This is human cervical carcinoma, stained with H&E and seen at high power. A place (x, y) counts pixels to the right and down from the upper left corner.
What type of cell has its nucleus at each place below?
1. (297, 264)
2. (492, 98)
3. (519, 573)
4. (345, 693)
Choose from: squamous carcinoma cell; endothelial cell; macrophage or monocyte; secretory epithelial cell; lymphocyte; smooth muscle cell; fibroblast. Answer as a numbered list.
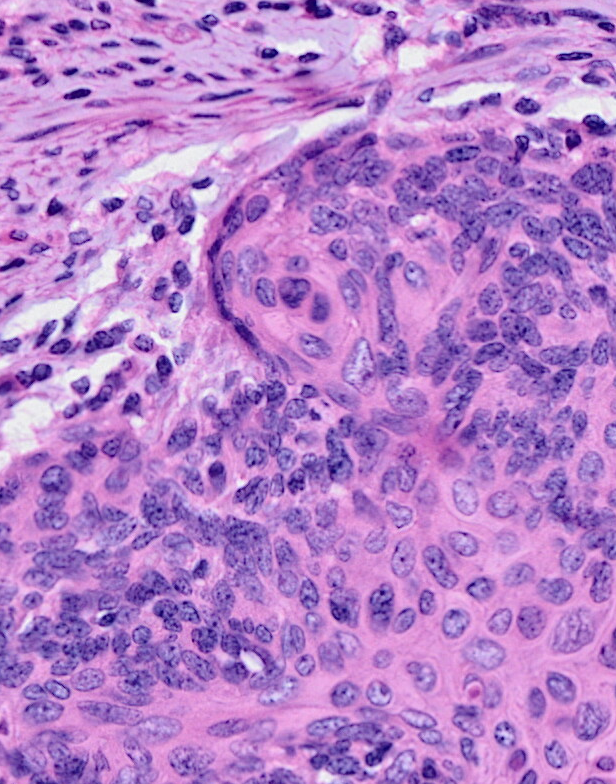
1. squamous carcinoma cell
2. lymphocyte
3. squamous carcinoma cell
4. squamous carcinoma cell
